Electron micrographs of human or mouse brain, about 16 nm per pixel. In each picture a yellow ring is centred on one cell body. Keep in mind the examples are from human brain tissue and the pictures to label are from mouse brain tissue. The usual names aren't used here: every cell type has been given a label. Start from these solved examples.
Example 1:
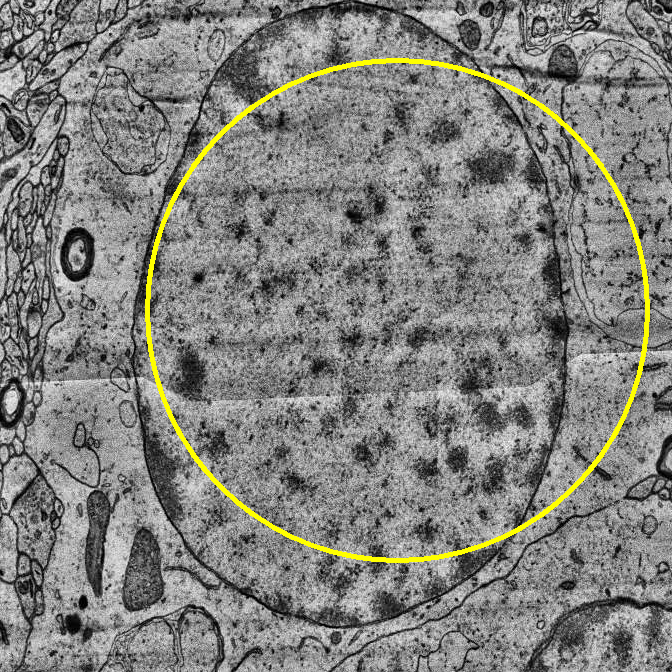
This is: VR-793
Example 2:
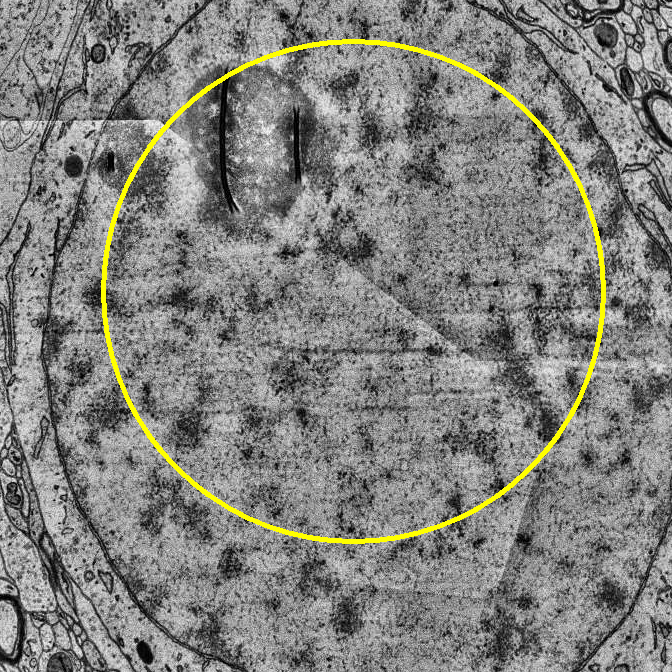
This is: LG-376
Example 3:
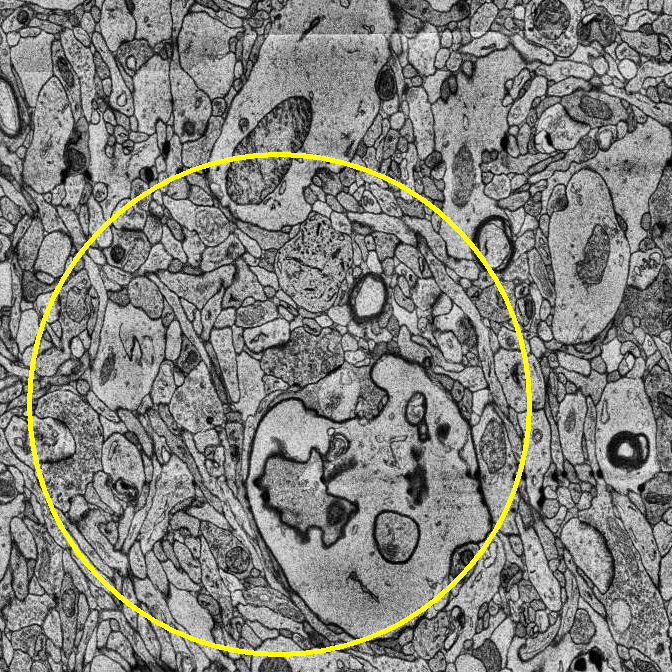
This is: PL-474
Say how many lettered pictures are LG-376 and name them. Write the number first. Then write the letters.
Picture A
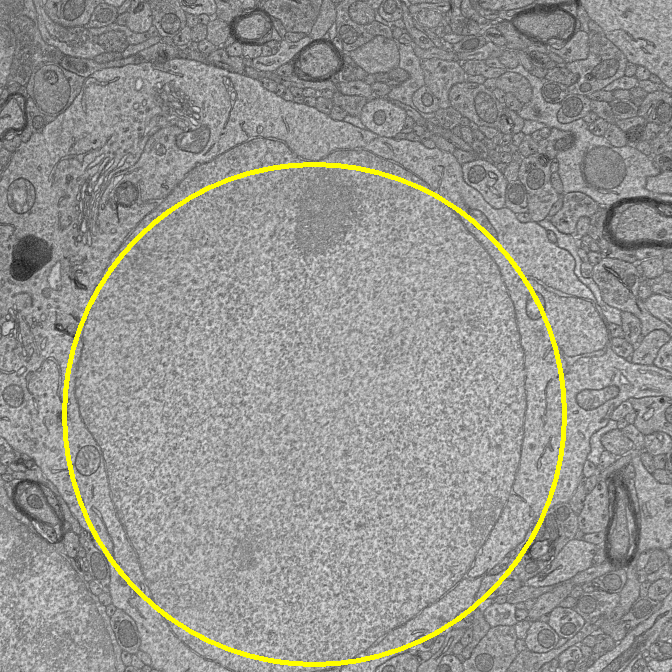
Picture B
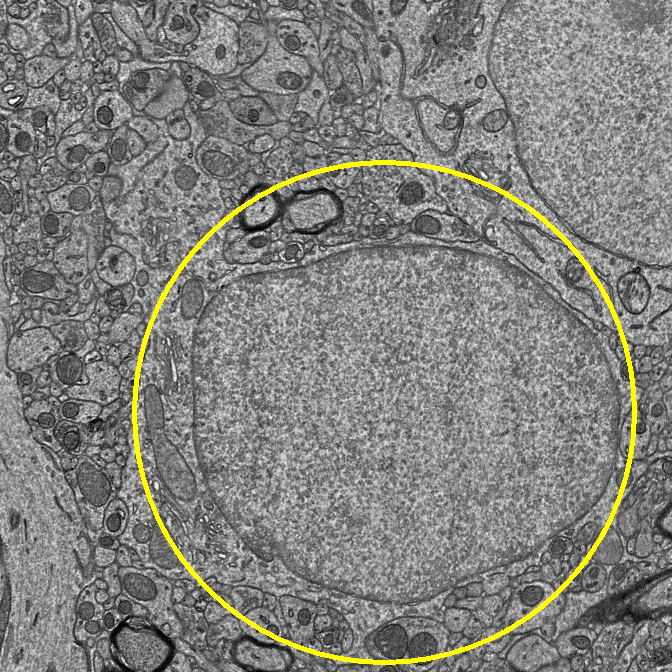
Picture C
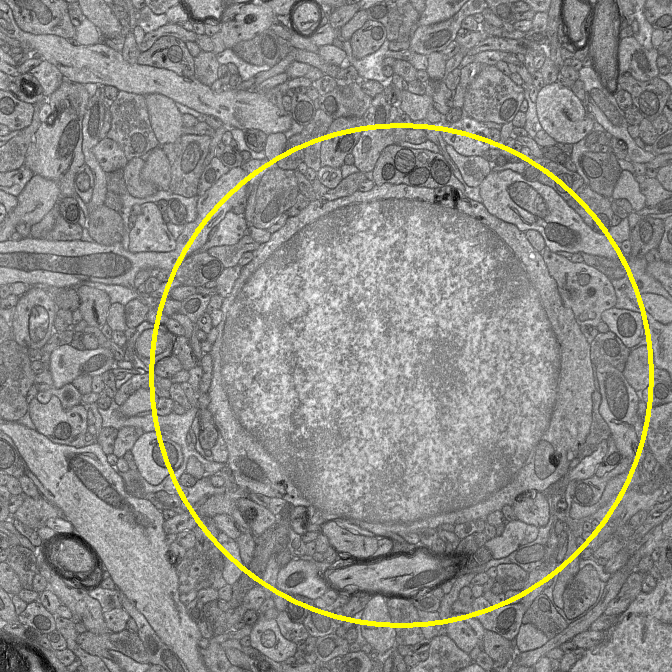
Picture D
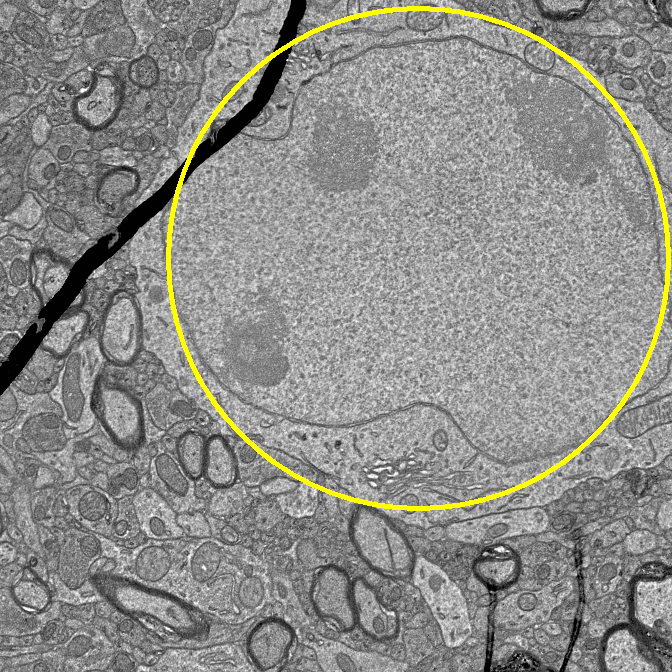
2: A, D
